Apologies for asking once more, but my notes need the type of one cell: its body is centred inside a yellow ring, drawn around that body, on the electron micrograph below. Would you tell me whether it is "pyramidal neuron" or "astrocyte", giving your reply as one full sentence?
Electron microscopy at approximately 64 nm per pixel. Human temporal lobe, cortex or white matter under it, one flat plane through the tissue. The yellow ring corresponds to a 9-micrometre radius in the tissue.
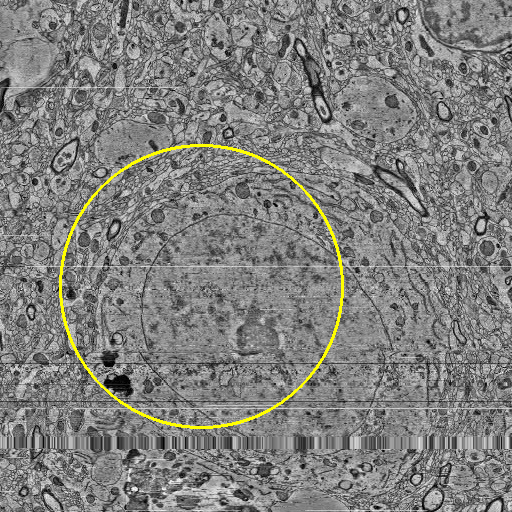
The cell that the yellow ring is centred on is a pyramidal neuron in this micrograph.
